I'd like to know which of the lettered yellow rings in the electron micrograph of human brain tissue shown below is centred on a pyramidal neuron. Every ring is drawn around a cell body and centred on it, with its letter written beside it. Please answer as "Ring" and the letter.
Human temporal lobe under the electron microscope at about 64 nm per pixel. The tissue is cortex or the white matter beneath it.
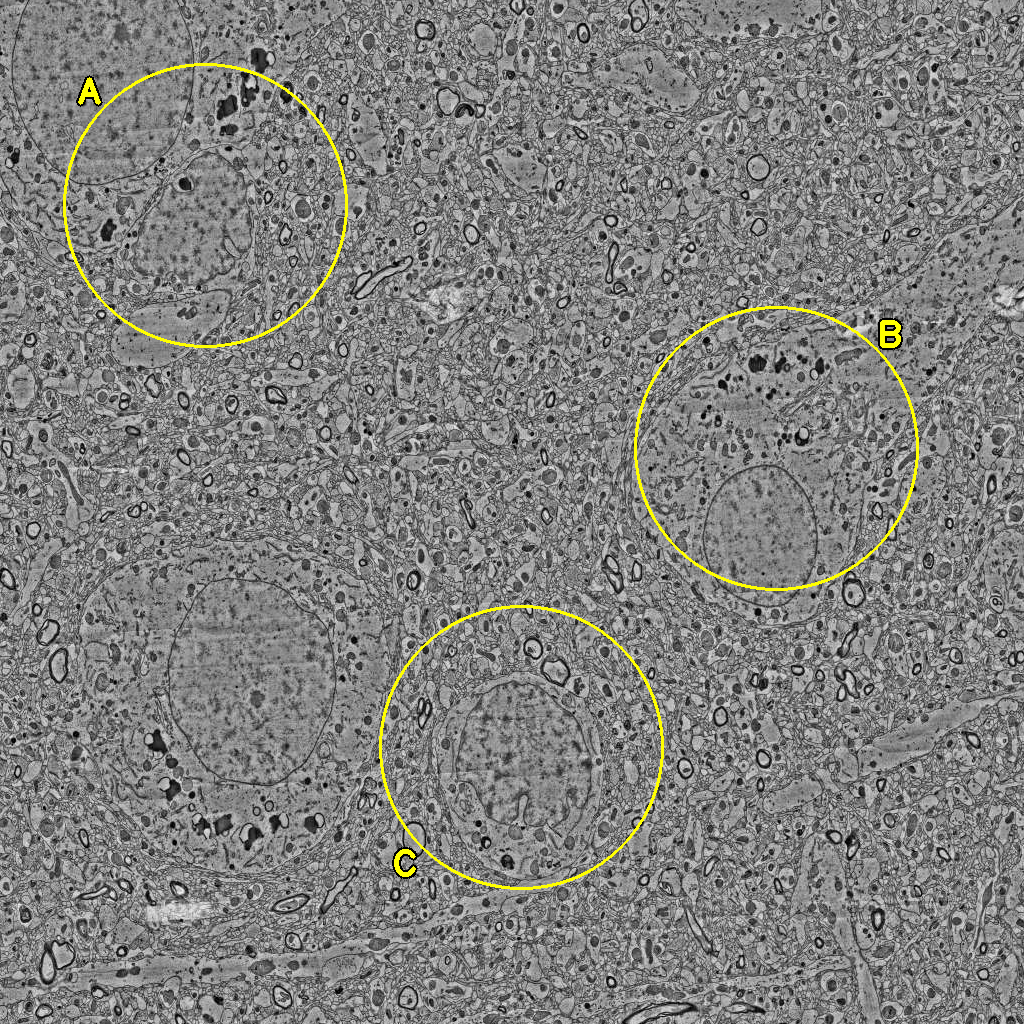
Ring B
